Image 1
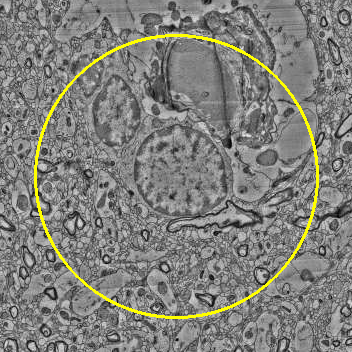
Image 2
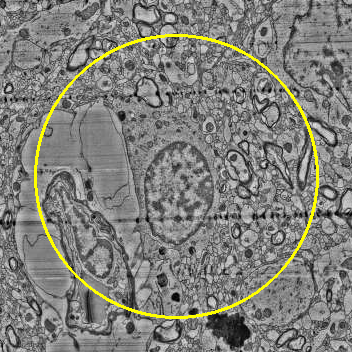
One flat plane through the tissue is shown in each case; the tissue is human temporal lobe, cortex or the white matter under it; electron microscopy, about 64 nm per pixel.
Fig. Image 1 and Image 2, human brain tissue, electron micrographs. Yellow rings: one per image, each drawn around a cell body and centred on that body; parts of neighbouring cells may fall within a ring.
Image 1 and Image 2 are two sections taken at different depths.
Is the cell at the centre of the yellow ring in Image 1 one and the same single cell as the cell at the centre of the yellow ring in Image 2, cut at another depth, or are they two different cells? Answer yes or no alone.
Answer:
no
